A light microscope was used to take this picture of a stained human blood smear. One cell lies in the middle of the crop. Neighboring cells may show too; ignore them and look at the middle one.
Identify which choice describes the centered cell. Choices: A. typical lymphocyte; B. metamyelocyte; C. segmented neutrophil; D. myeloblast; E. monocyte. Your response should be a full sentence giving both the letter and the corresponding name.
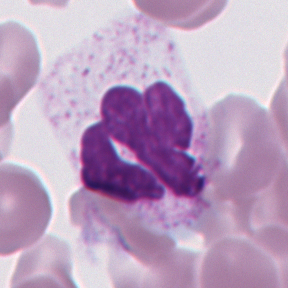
At the centre of the crop lies a segmented neutrophil, which makes option C correct.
